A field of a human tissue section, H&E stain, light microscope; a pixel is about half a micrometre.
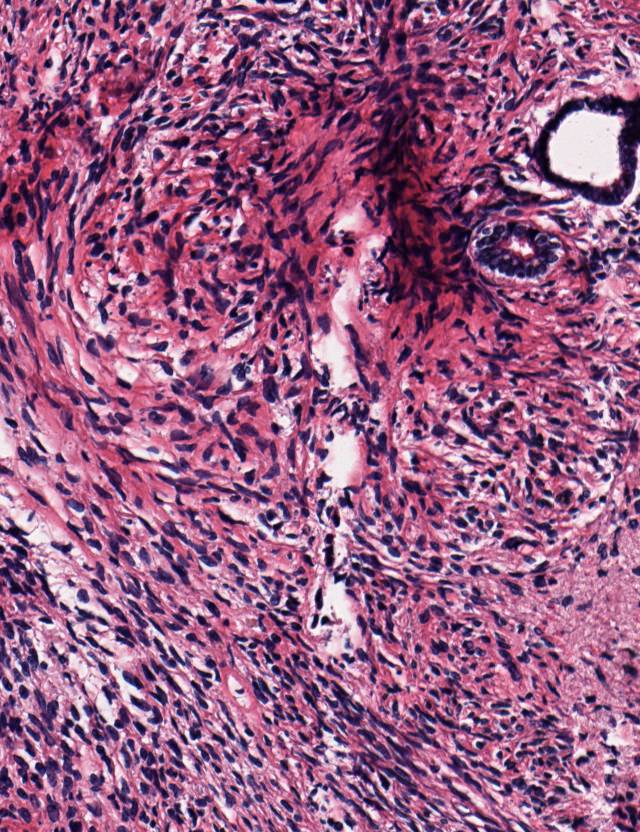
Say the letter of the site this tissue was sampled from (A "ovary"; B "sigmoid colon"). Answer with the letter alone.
A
